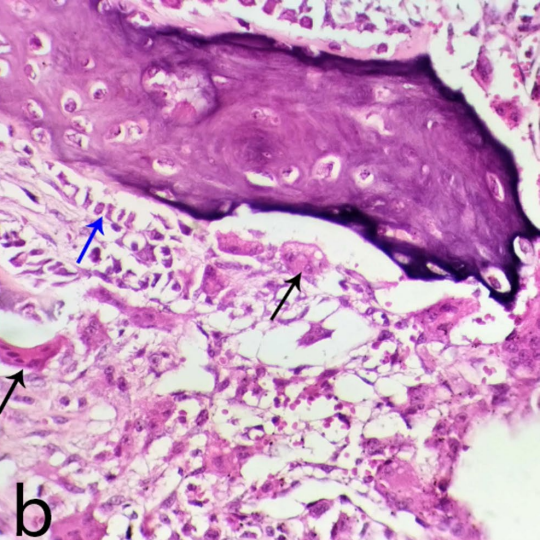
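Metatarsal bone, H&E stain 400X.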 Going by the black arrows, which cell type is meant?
giant cell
